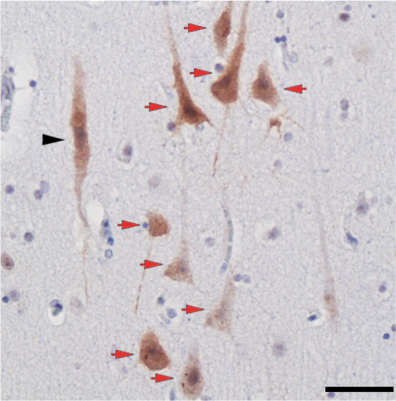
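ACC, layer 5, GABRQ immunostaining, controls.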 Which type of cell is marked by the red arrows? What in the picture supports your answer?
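The marked cells have triangular brown-stained cell bodies. A single thick process extends upward from the apex of several marked cells. That points to this answer: pyramidal neurons.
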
